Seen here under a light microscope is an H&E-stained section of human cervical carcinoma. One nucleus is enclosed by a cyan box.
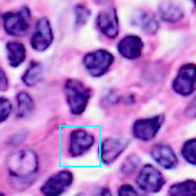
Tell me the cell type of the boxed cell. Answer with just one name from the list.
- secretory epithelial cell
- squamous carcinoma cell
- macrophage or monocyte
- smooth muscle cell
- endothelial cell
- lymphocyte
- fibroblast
lymphocyte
